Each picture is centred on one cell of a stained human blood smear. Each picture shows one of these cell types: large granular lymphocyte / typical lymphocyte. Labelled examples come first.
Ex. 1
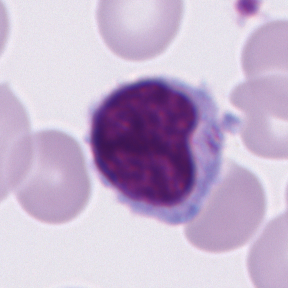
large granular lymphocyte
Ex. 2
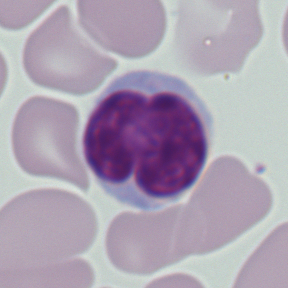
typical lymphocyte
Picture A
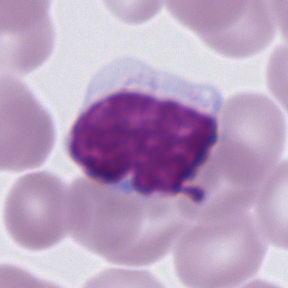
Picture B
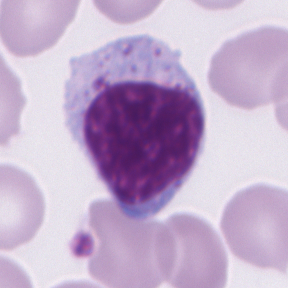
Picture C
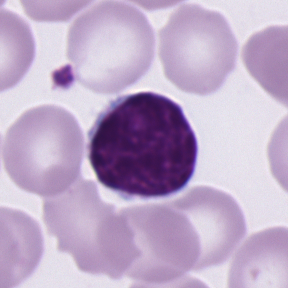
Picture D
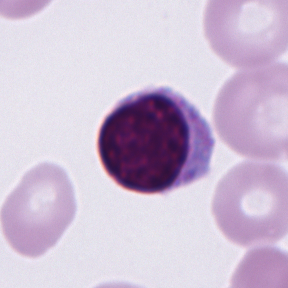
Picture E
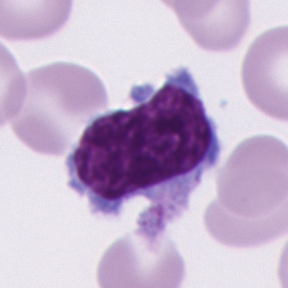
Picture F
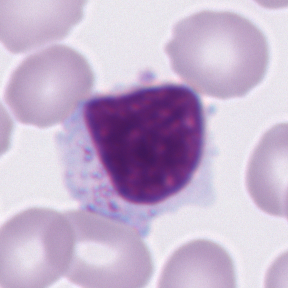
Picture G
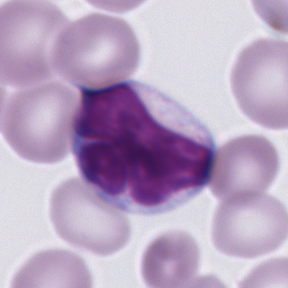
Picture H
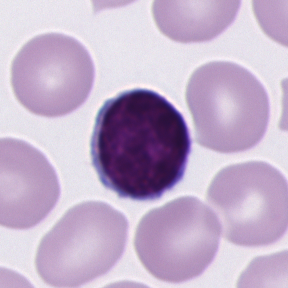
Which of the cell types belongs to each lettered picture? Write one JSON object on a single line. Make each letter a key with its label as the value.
{"A": "large granular lymphocyte", "B": "large granular lymphocyte", "C": "typical lymphocyte", "D": "typical lymphocyte", "E": "typical lymphocyte", "F": "large granular lymphocyte", "G": "large granular lymphocyte", "H": "typical lymphocyte"}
